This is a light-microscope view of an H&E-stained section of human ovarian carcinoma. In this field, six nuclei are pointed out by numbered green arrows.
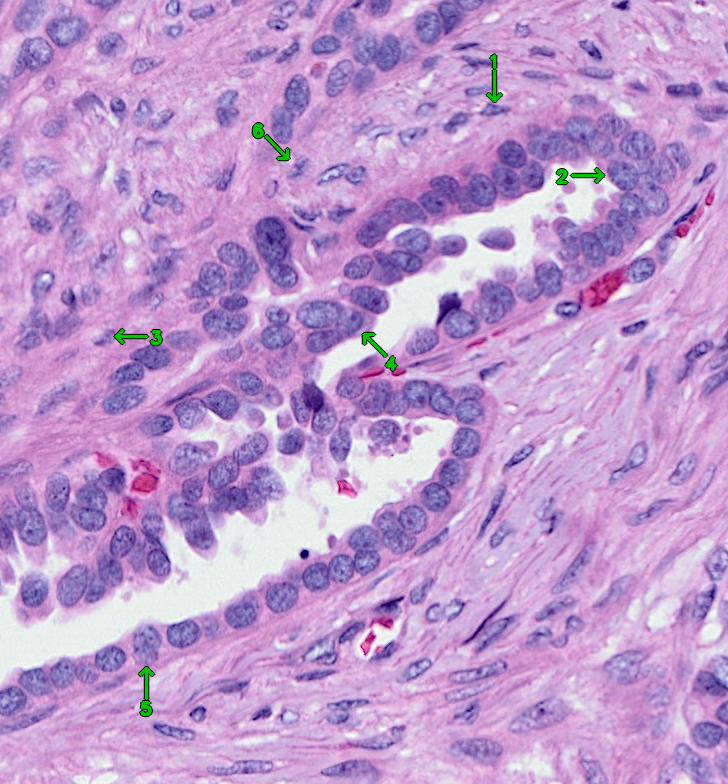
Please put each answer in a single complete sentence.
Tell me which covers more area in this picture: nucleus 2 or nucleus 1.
It is nucleus 2, which covers about 3 times the area of nucleus 1.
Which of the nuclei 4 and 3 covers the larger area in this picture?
At about 2 times the area of nucleus 3, nucleus 4 is the larger of the two.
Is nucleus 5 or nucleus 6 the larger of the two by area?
Of the two, number 5 is bigger and takes up about 4 times the area of number 6.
